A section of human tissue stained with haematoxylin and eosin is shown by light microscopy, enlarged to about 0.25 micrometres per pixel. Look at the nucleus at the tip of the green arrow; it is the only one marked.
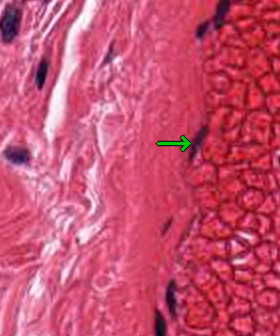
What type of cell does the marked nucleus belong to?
endothelial cell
